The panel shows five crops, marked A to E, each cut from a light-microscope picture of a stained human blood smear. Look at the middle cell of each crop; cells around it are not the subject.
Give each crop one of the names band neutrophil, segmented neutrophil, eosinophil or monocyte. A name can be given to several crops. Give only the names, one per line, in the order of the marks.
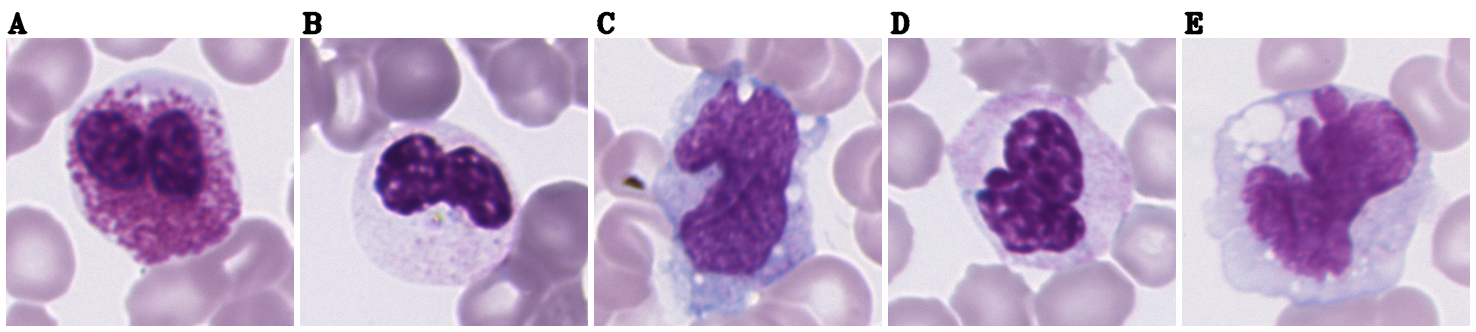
eosinophil
band neutrophil
monocyte
segmented neutrophil
monocyte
